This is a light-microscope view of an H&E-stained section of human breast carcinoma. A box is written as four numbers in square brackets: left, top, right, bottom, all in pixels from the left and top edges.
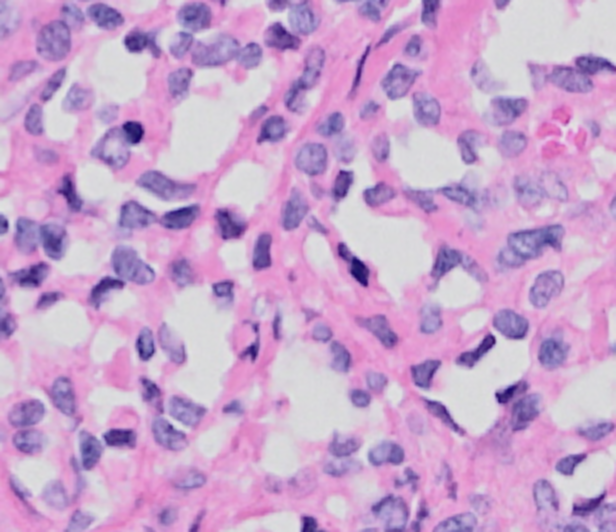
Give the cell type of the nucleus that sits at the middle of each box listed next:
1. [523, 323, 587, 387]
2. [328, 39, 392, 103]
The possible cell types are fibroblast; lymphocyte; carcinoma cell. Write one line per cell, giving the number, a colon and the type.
1: carcinoma cell
2: fibroblast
